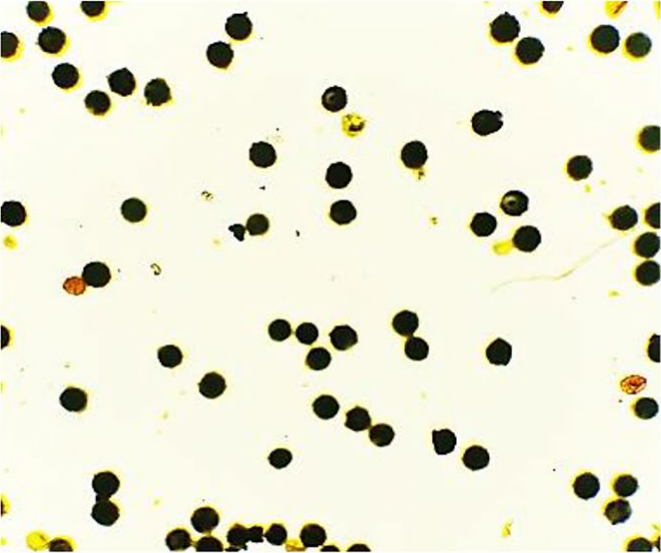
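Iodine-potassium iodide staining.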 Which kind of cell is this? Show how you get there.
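Many separate round grains of about equal size scattered on a pale background. Most grains are stained dark, almost black. A few grains are pale yellow or orange-red.
Pollen grains.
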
